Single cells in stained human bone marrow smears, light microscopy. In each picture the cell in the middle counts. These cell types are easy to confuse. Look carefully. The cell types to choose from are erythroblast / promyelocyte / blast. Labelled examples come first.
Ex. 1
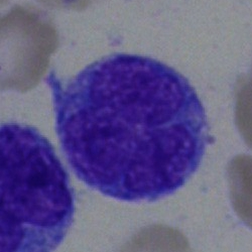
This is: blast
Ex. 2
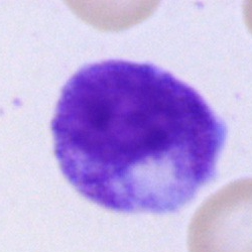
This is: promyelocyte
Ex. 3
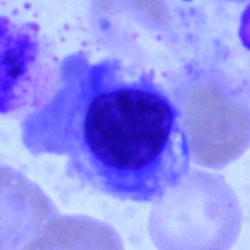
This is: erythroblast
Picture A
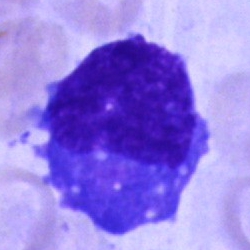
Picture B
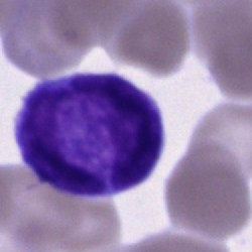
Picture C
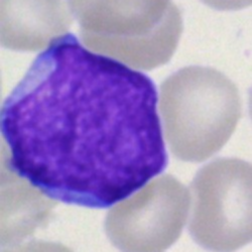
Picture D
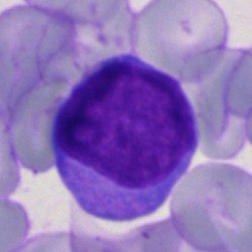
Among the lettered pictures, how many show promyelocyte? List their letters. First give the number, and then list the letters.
0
